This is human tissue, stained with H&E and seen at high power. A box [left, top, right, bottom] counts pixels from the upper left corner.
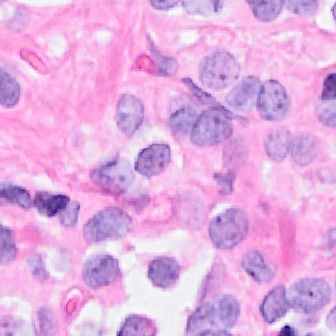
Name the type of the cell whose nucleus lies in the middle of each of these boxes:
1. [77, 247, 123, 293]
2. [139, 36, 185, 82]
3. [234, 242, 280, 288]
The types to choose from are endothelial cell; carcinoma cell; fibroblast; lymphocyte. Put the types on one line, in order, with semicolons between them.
carcinoma cell; endothelial cell; carcinoma cell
